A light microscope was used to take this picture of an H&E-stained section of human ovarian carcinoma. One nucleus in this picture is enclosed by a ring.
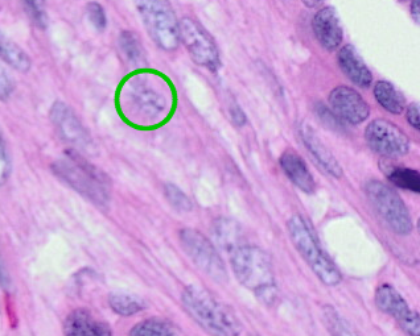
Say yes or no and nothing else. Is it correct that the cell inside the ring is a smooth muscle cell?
no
